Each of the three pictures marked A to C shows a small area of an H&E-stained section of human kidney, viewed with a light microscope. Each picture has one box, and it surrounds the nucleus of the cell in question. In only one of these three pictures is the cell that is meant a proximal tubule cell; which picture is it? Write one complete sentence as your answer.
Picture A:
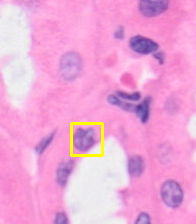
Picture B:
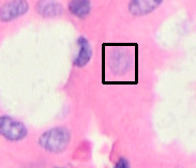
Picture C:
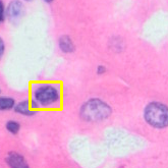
The proximal tubule cell is the one in picture B.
